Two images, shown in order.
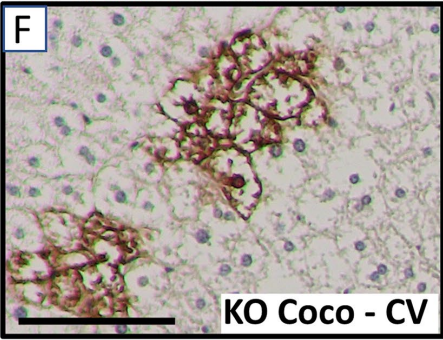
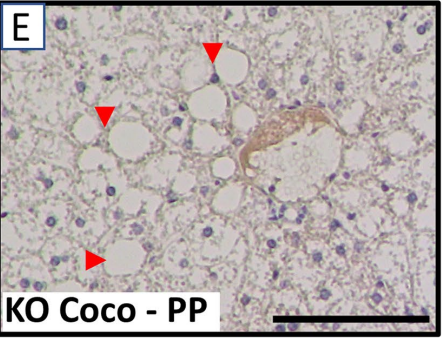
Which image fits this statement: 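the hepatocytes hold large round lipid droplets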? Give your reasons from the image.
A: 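The second image. First image: swollen pale cells without discrete round vacuoles. Second image: several large round clear vacuoles within cells.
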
